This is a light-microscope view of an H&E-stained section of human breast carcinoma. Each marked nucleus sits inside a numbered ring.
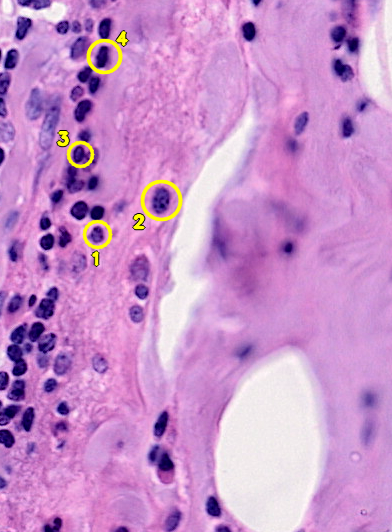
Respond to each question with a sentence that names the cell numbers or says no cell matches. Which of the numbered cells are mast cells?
Among the labelled cells, only the cell labelled 2 is a mast cell.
